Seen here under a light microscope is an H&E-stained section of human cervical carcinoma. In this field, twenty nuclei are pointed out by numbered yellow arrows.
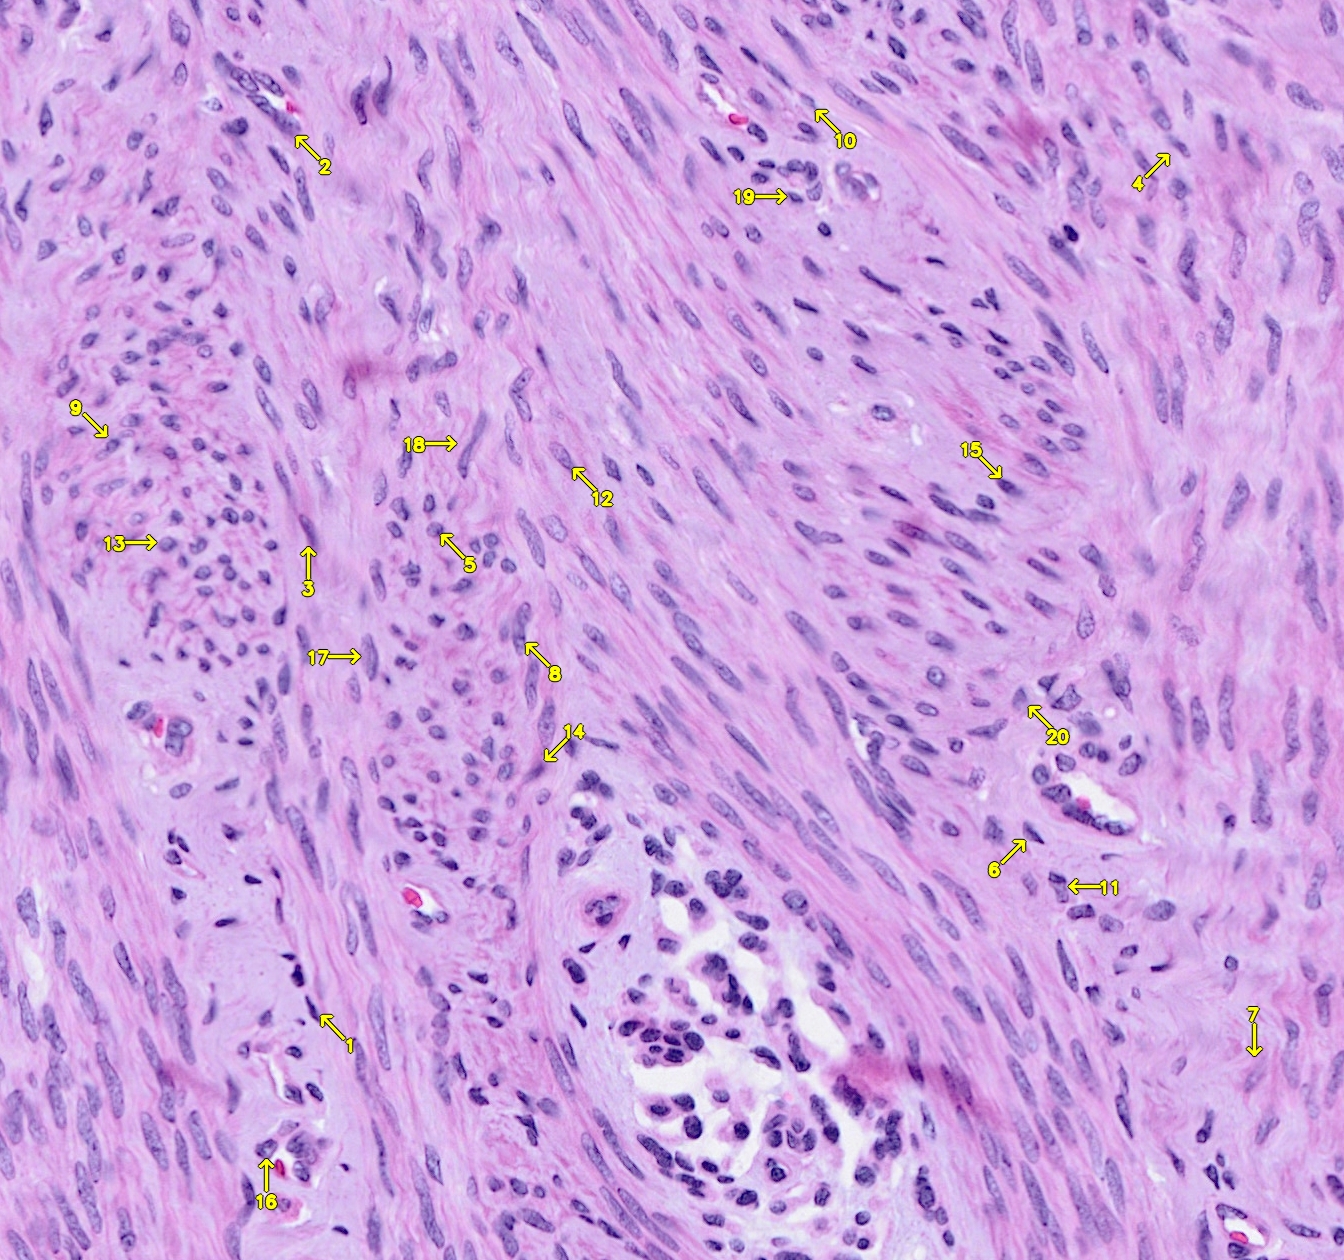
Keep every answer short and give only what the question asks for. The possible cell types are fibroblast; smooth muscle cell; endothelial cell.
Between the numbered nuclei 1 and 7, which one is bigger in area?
7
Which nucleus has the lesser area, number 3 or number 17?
3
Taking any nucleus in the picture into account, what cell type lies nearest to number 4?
smooth muscle cell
